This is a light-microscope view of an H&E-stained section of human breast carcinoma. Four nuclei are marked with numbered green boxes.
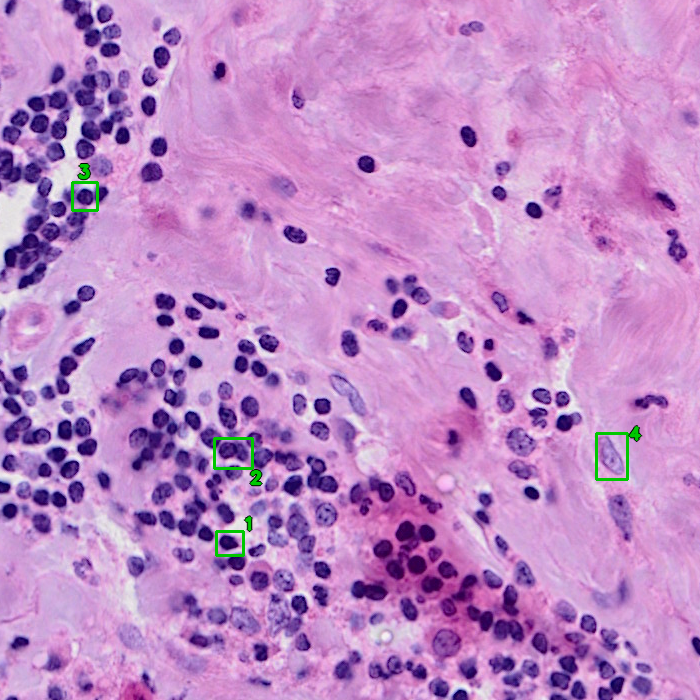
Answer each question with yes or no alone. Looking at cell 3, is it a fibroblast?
no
